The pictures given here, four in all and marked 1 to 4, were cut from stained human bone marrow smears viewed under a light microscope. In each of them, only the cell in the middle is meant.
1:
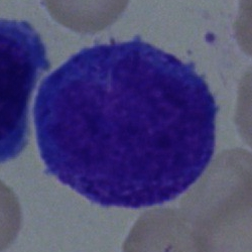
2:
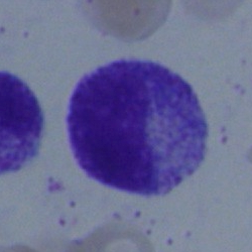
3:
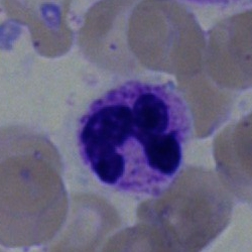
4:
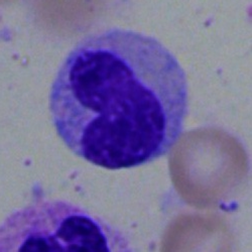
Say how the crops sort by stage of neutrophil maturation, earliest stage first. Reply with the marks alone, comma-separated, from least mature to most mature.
1, 2, 4, 3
